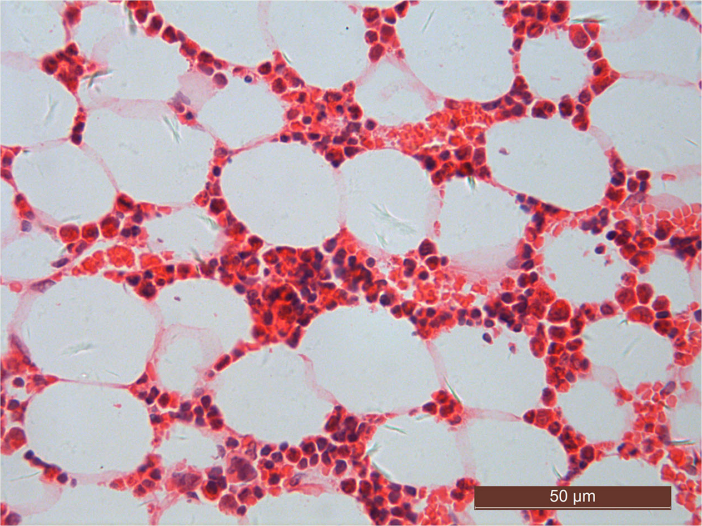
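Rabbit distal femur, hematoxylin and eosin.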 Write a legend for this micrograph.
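Large round clear spaces with thin pink borders fill most of the field. Small round cells with dark purple nuclei and red cytoplasm are crowded into narrow strands and clusters between these spaces. This is bone marrow in which fat cells take up much of the space and the blood-forming cells are confined to the gaps between them.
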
